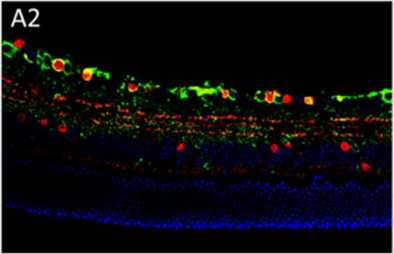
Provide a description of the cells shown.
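Along the upper, inner edge lies a single row of round cell bodies whose outlines are ringed in green, several of them filled with red, giving a yellow-orange overlap. Beneath them run thin reddish bands and scattered red round profiles within a speckled green zone, and below that a thick, densely packed band of small blue nuclei fills the lower part of the section. The row of large round cells at the inner edge corresponds to the ganglion cell layer with the plexiform layer beneath it.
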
